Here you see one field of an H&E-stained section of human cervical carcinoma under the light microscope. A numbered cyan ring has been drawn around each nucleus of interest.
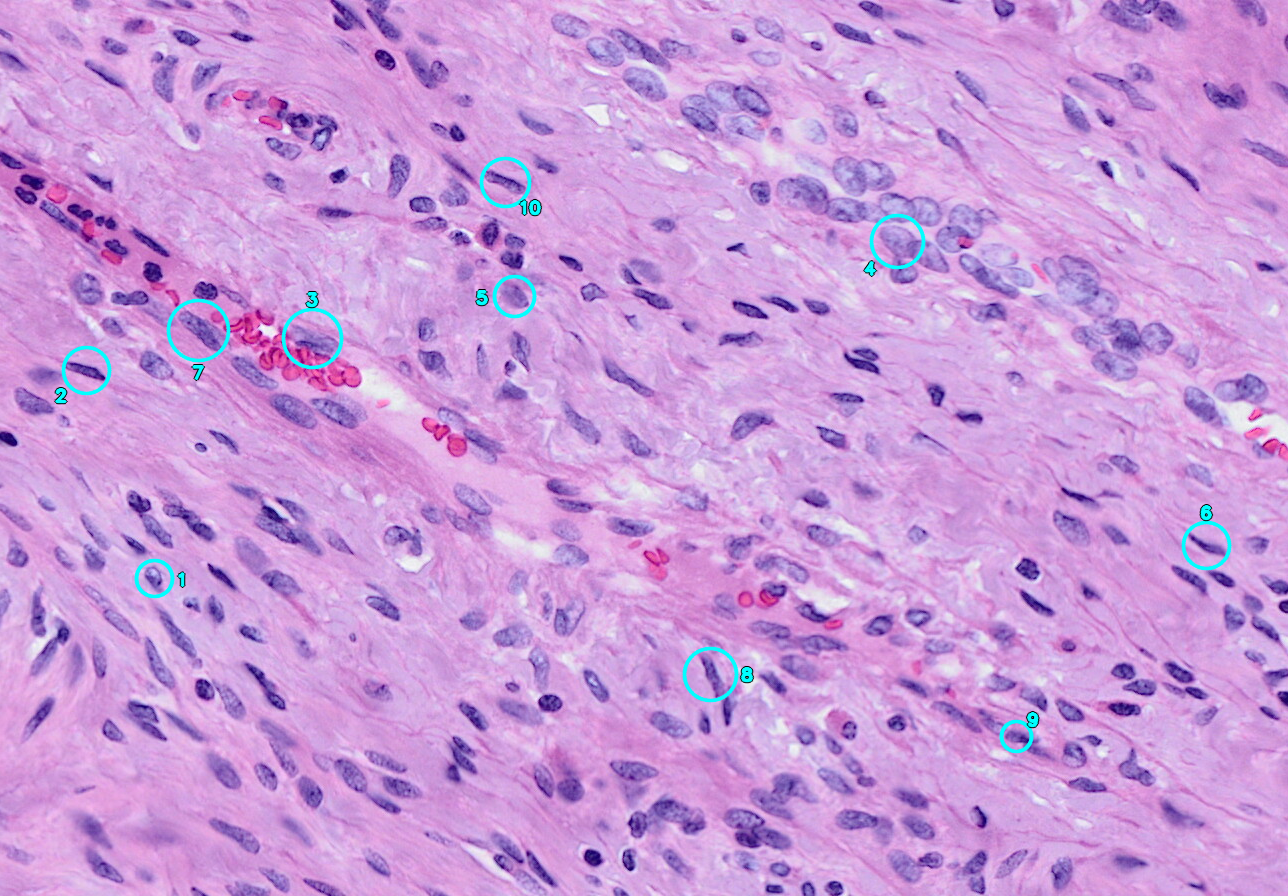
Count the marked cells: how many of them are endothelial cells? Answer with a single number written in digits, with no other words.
4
